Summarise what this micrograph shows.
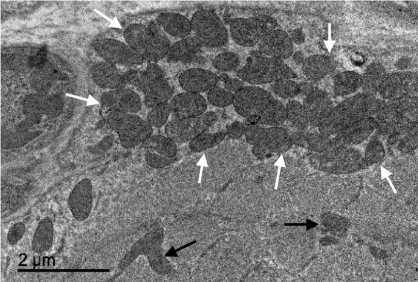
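A cross-cut red skeletal muscle fiber is seen by electron microscopy, with its edge at the top and the cut myofibrils filling the lower part. Beneath the fiber surface lies a dense, thick cluster of many dark, rounded subsarcolemmal mitochondria packed tightly together. Deeper in the fiber, single dark intermyofibrillar mitochondria sit among the finely granular myofibril profiles.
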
